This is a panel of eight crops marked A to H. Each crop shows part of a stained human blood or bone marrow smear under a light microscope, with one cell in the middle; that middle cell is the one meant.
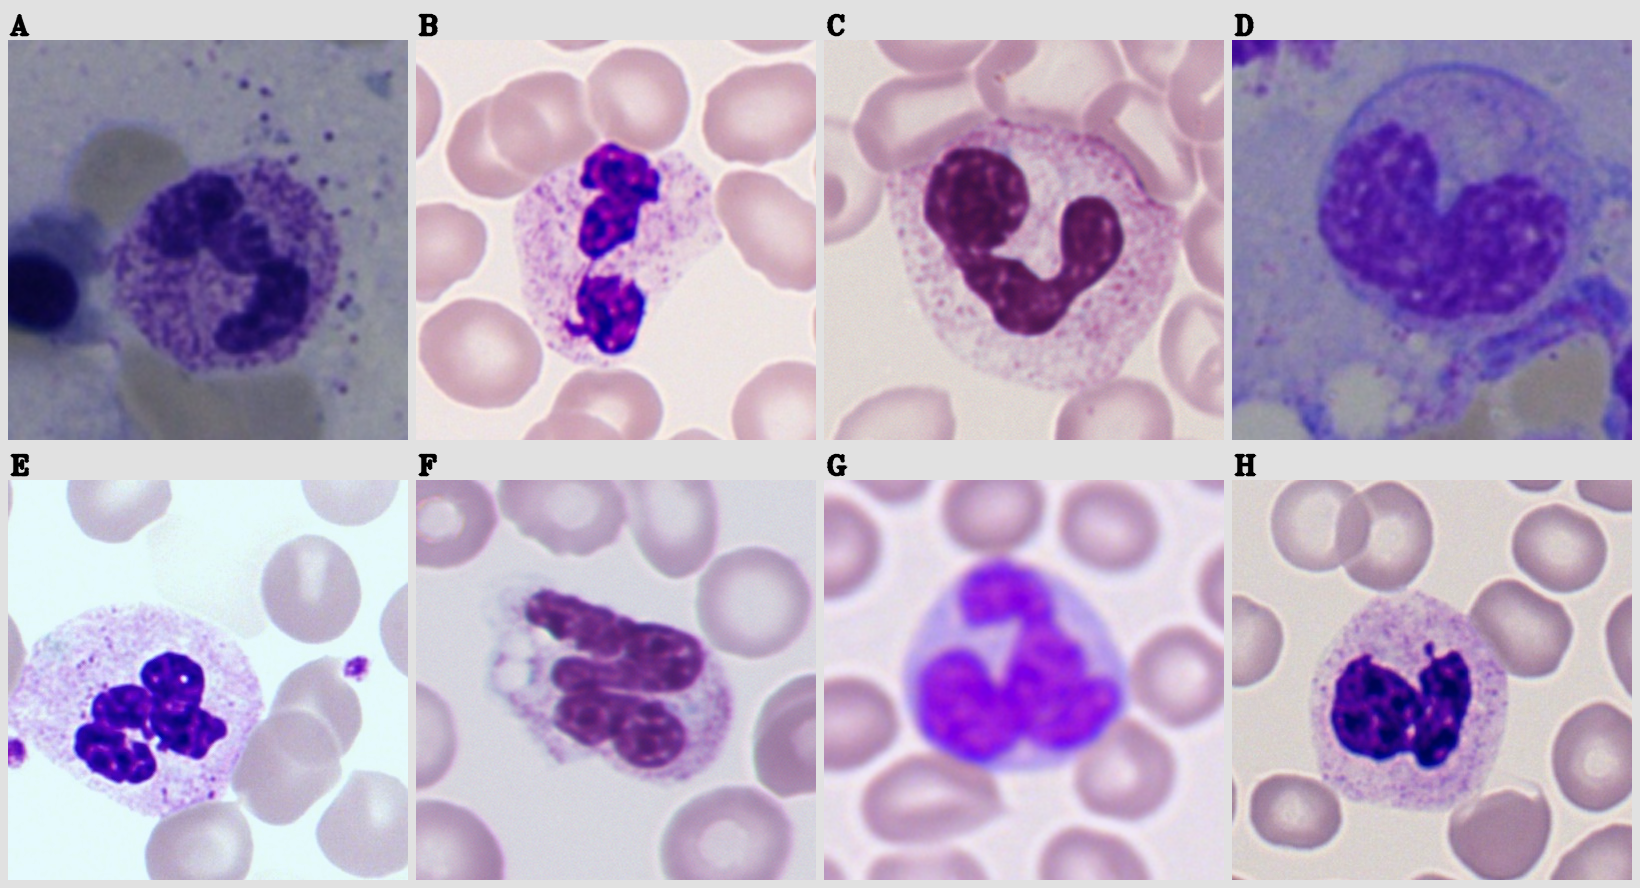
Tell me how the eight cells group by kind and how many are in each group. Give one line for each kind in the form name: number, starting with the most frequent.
segmented neutrophil: 6
monocyte: 2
